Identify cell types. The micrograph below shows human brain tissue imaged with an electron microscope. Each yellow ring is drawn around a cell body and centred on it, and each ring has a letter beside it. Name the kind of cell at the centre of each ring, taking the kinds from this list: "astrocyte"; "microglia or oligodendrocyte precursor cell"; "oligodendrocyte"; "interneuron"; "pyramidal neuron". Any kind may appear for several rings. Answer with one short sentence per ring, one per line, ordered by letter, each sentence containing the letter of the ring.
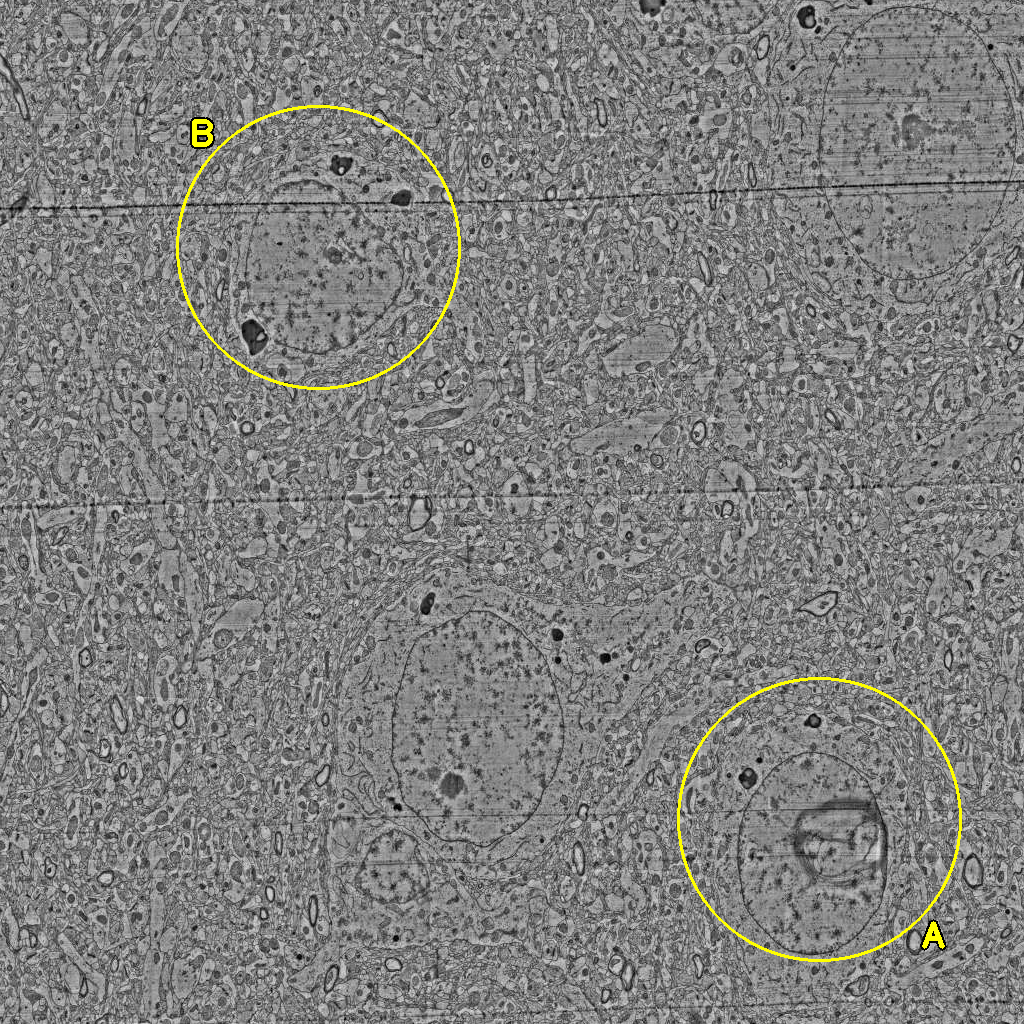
Ring A marks a pyramidal neuron.
Ring B marks an interneuron.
